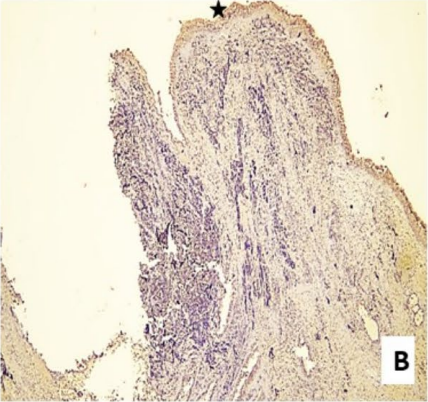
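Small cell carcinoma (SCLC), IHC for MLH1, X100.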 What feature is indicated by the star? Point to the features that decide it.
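Surface epithelium. The star sits on a thin lining layer along the edge of the tissue. This edge layer is tinted brown, unlike the blue-staining tissue beneath.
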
